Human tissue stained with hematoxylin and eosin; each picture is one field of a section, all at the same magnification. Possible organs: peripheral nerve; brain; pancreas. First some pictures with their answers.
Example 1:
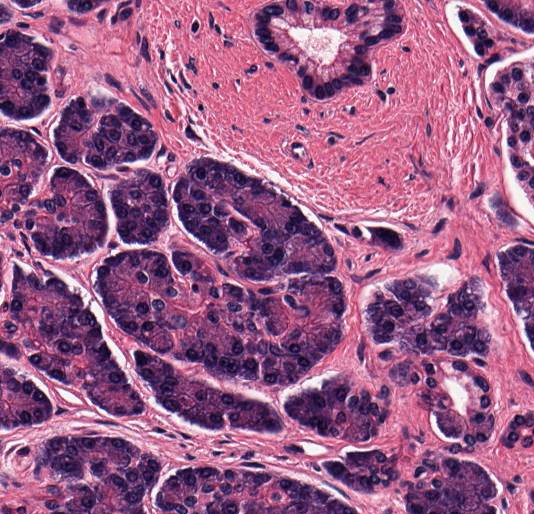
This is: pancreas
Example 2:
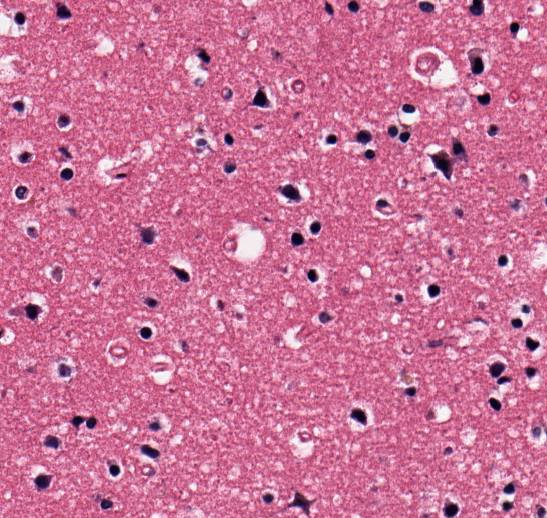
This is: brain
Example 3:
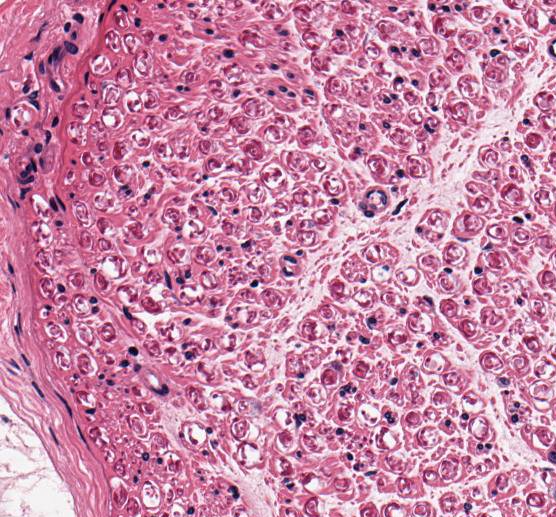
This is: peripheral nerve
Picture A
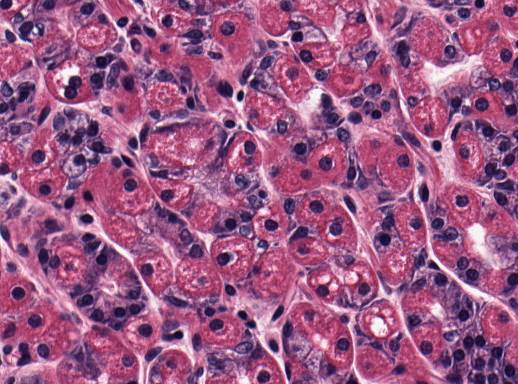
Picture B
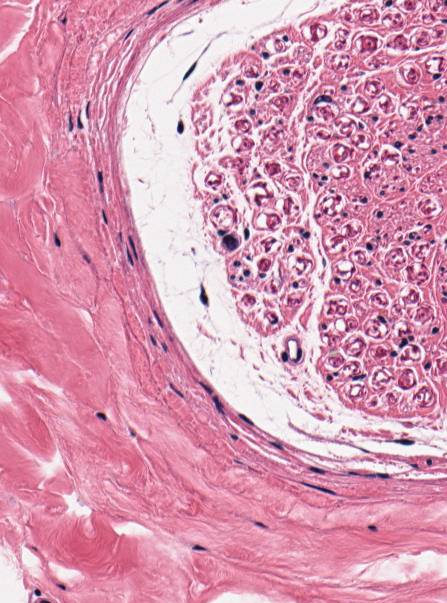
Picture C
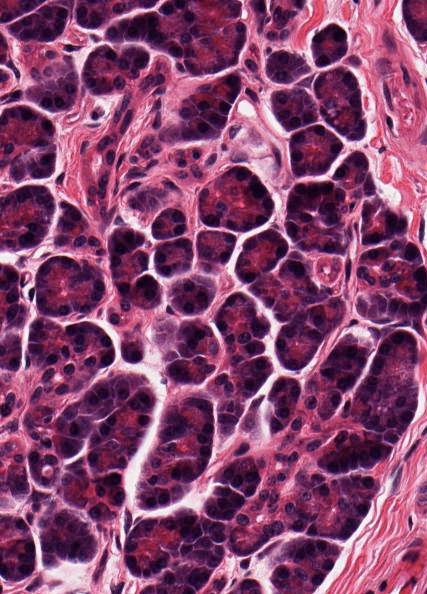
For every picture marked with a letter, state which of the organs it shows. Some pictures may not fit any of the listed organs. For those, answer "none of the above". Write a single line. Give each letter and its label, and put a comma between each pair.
A none of the above, B peripheral nerve, C pancreas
